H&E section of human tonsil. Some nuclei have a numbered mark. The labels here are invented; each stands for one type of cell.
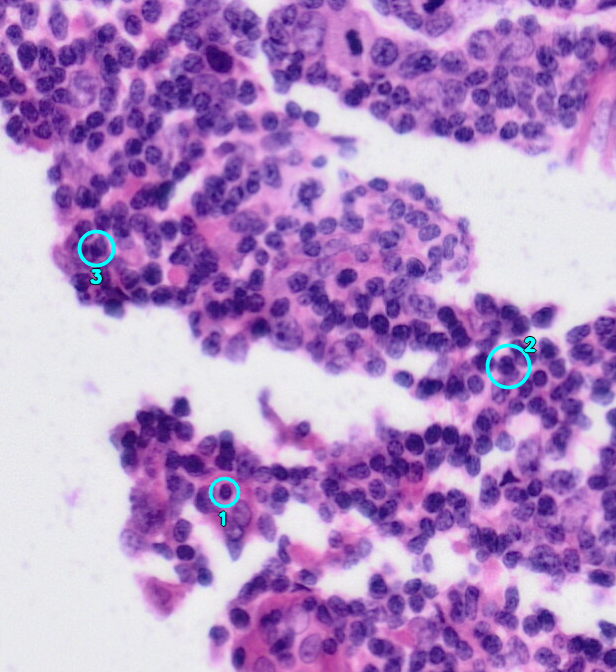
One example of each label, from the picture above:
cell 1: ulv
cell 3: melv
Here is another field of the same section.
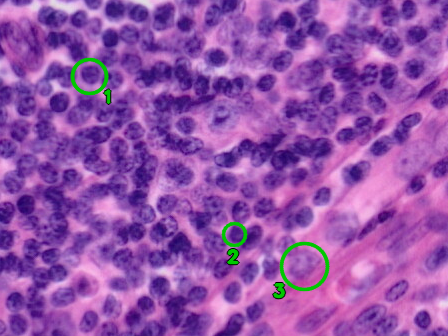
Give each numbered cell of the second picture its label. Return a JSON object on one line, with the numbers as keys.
{"1": "melv", "2": "melv", "3": "ulv"}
